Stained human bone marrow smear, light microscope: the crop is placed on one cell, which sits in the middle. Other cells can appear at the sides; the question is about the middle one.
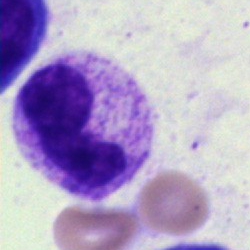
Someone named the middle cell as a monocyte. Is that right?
no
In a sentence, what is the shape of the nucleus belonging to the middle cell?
Round, oval or kidney-shaped, the nucleus is one compact mass.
